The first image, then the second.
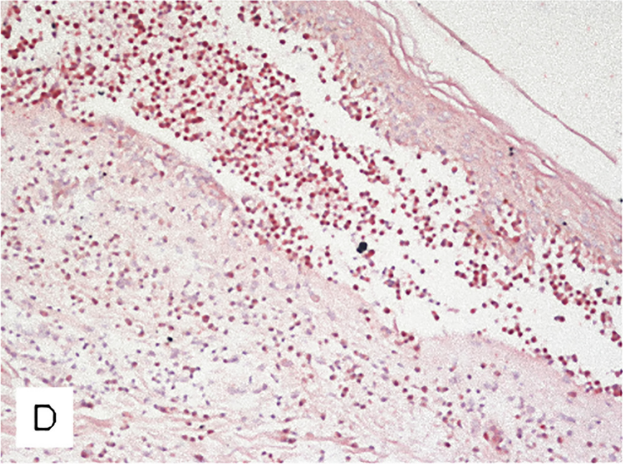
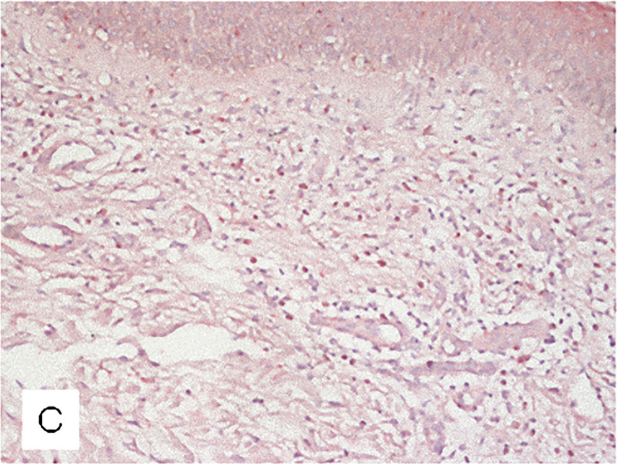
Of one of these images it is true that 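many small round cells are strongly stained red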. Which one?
the first image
